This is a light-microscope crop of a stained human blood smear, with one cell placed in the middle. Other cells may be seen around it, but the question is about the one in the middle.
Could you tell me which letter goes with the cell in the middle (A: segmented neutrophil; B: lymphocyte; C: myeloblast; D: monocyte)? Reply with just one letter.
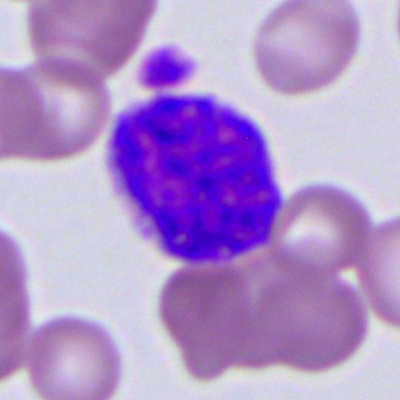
C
